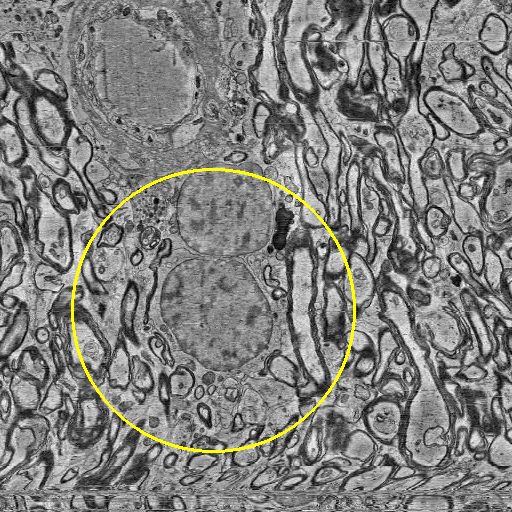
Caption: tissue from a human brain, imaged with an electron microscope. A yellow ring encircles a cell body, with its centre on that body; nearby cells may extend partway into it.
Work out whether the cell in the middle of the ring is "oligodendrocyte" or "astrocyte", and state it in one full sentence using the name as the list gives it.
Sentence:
In the picture, the cell that the yellow ring surrounds at its centre is an oligodendrocyte.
